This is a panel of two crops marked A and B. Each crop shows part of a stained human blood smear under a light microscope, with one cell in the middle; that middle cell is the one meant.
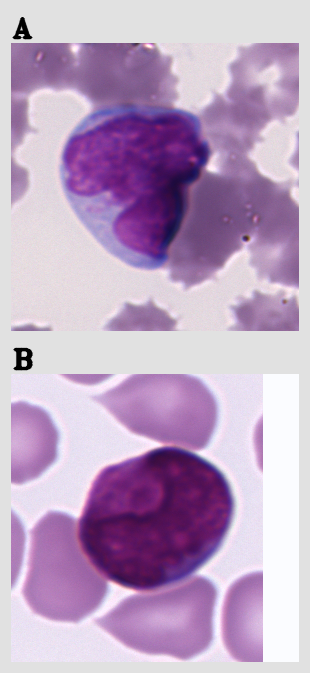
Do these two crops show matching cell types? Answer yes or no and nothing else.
yes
